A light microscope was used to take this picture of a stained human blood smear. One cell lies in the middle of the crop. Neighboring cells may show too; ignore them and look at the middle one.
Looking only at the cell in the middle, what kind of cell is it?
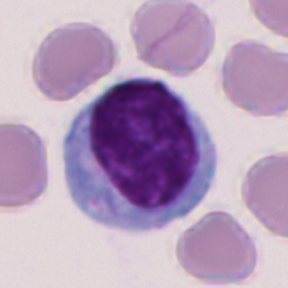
plasma cell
